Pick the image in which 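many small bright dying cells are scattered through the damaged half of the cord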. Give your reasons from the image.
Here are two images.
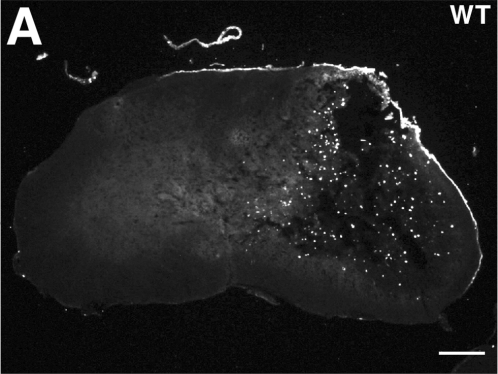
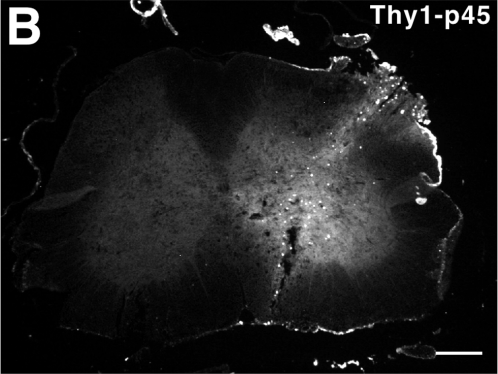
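First image: numerous bright dots spread over the right half of the section. So: the first image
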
